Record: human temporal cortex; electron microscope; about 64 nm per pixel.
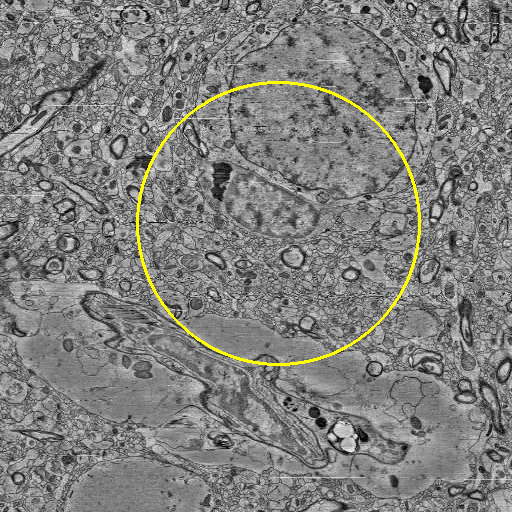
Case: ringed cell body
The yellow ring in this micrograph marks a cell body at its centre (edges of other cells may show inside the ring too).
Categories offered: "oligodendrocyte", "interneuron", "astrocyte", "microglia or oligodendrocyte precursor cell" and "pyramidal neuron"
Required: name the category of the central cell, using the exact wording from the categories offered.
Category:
oligodendrocyte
